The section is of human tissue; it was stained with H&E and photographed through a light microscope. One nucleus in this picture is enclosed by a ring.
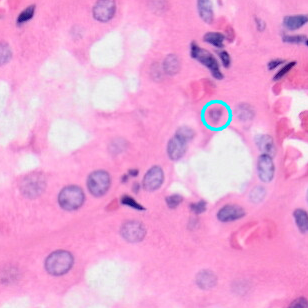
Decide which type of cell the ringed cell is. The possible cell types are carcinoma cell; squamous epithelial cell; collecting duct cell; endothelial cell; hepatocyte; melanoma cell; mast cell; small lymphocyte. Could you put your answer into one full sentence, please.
In cellular terms, the ringed cell is a collecting duct cell.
